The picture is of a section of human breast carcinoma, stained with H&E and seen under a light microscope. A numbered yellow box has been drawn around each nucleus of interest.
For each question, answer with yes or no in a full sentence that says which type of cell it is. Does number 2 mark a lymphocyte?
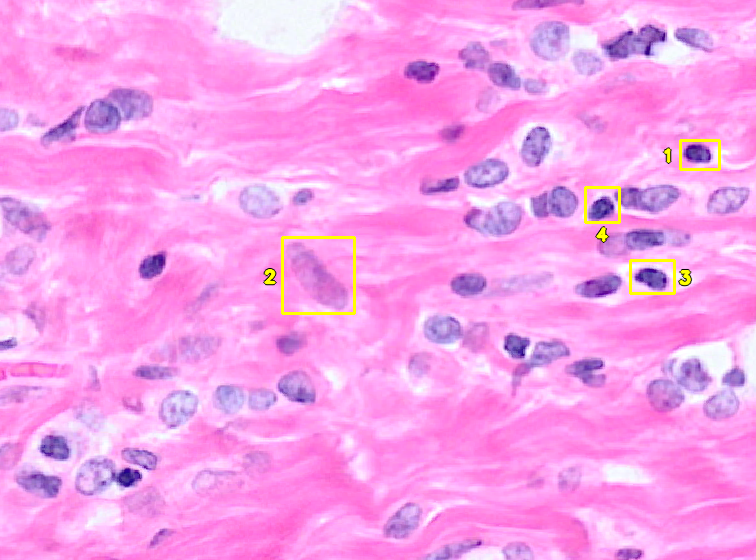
No, it is a fibroblast that is marked with number 2, not a lymphocyte.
